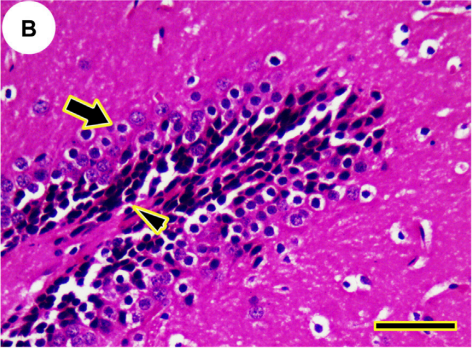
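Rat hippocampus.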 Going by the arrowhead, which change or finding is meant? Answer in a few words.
Necrotic neurons.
